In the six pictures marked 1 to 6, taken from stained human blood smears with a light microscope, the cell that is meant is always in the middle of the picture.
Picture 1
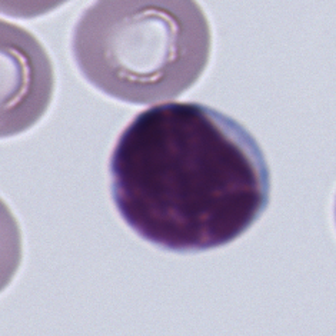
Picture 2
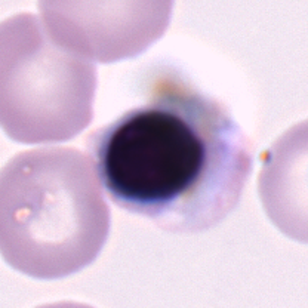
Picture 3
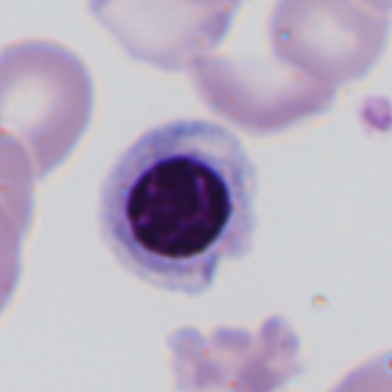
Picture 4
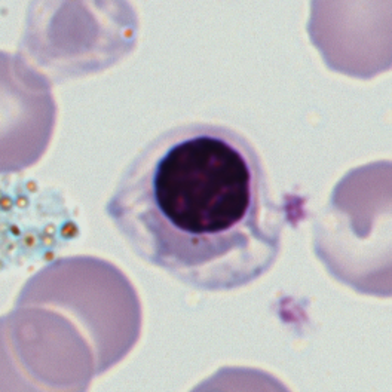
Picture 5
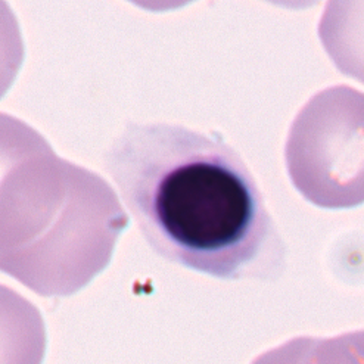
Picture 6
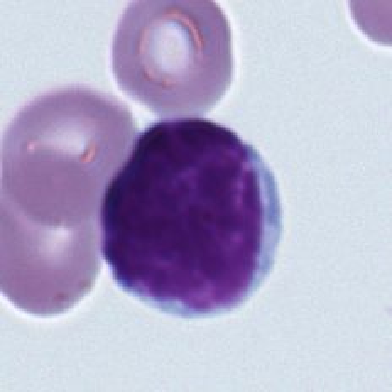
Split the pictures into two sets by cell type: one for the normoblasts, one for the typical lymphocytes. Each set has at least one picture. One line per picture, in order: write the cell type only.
typical lymphocyte
normoblast
normoblast
normoblast
normoblast
typical lymphocyte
